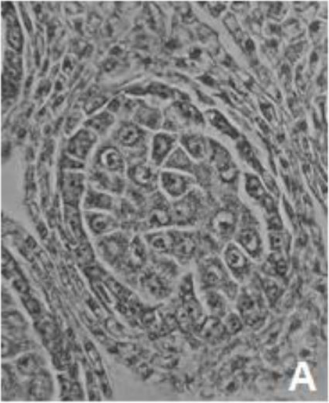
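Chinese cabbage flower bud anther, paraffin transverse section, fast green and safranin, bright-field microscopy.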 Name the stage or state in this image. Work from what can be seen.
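The locule is filled with a compact mass of large polygonal cells. Each central cell has a large nucleus with a prominent nucleolus. The central cells are surrounded by concentric wall layers.
Answer: microspore mother cell stage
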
